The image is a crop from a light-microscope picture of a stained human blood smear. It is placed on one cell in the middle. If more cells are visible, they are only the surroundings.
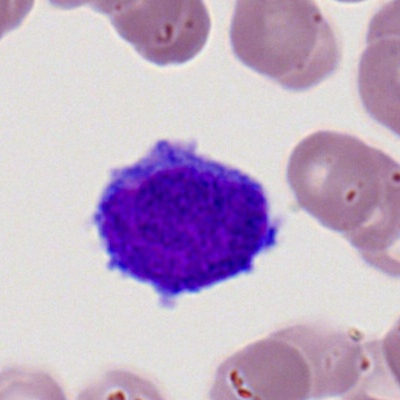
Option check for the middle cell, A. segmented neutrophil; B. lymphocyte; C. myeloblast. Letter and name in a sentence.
Option B stands as correct, the central cell being a lymphocyte.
